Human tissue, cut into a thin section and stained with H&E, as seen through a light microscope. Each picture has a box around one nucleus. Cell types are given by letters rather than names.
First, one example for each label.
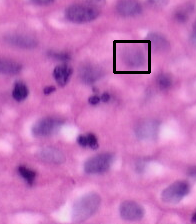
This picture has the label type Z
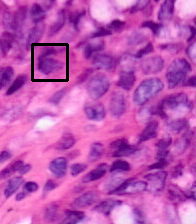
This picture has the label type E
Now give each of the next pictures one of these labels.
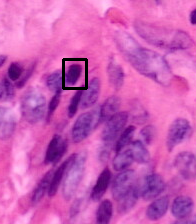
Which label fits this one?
type E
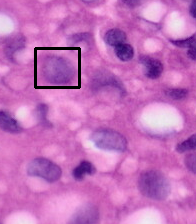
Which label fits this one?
type Z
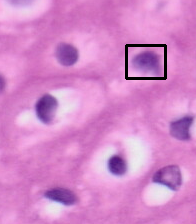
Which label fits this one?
type Z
